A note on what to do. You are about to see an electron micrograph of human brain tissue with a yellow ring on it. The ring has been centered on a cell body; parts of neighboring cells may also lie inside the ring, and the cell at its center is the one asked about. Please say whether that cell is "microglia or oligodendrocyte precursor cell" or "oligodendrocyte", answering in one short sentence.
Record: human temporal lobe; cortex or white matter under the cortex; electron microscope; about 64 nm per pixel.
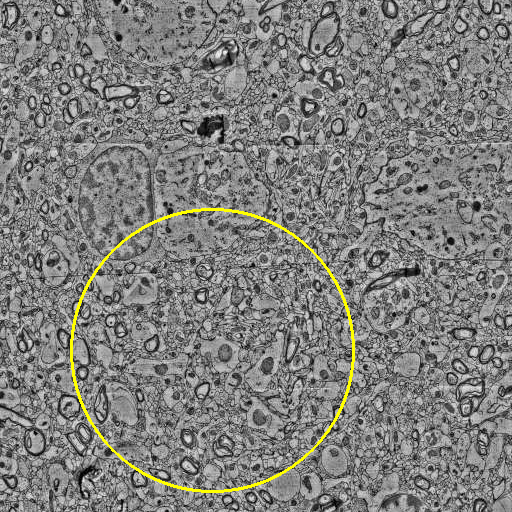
The yellow ring sits on an oligodendrocyte.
